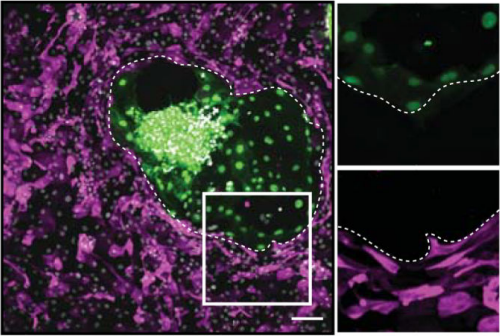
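The green region contains a bright compact cluster of cells beside a dark round space, and scattered round green nuclei-like spots spread across a wider green area. Around this green area the magenta cells are elongated and irregular, forming a dense meshwork. The green area is largely free of magenta cells, with the magenta cells crowded at its border. Enlarged views of the border show the edge between the green region and the packed magenta cells.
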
